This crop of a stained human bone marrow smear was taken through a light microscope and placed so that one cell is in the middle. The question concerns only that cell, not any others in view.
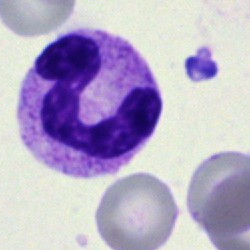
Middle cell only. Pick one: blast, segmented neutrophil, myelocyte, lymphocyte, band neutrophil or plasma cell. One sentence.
The middle of this crop holds a segmented neutrophil.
